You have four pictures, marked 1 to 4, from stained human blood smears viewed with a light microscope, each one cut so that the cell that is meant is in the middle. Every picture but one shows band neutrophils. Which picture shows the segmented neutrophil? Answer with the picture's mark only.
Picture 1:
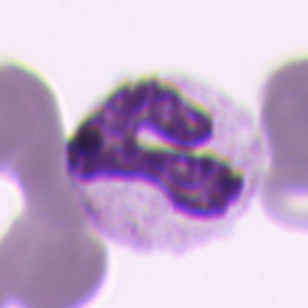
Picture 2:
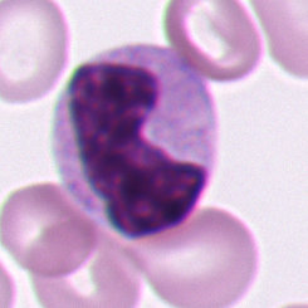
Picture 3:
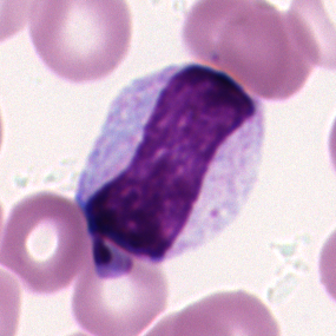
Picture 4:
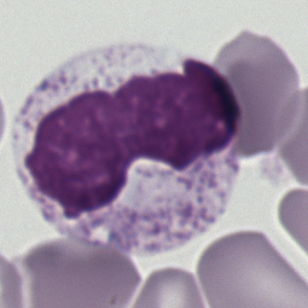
1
